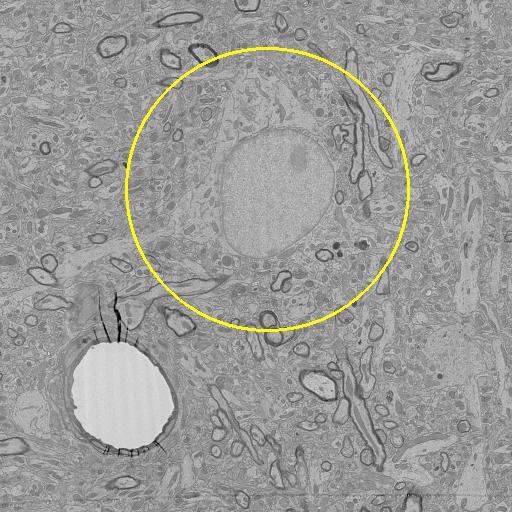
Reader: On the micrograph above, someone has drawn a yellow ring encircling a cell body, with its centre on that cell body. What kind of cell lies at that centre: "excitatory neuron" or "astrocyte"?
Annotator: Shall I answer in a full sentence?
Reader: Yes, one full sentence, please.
Here an astrocyte sits at the centre of the yellow ring drawn on the micrograph.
